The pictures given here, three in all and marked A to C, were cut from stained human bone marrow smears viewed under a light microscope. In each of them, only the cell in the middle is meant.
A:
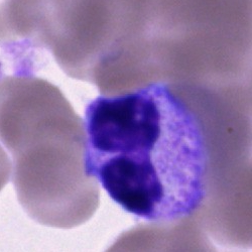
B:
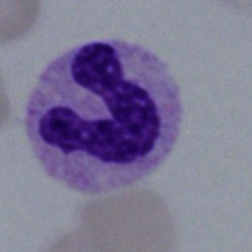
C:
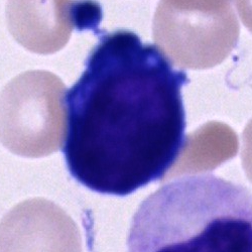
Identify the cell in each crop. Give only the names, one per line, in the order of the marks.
segmented neutrophil
segmented neutrophil
proerythroblast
